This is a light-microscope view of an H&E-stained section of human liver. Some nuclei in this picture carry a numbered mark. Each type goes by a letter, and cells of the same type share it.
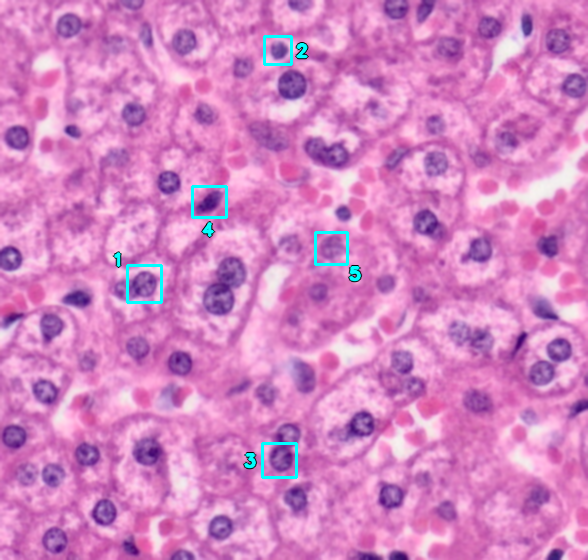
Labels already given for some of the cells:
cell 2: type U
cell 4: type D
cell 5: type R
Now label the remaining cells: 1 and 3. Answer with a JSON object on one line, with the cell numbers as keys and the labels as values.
{"1": "type R", "3": "type R"}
